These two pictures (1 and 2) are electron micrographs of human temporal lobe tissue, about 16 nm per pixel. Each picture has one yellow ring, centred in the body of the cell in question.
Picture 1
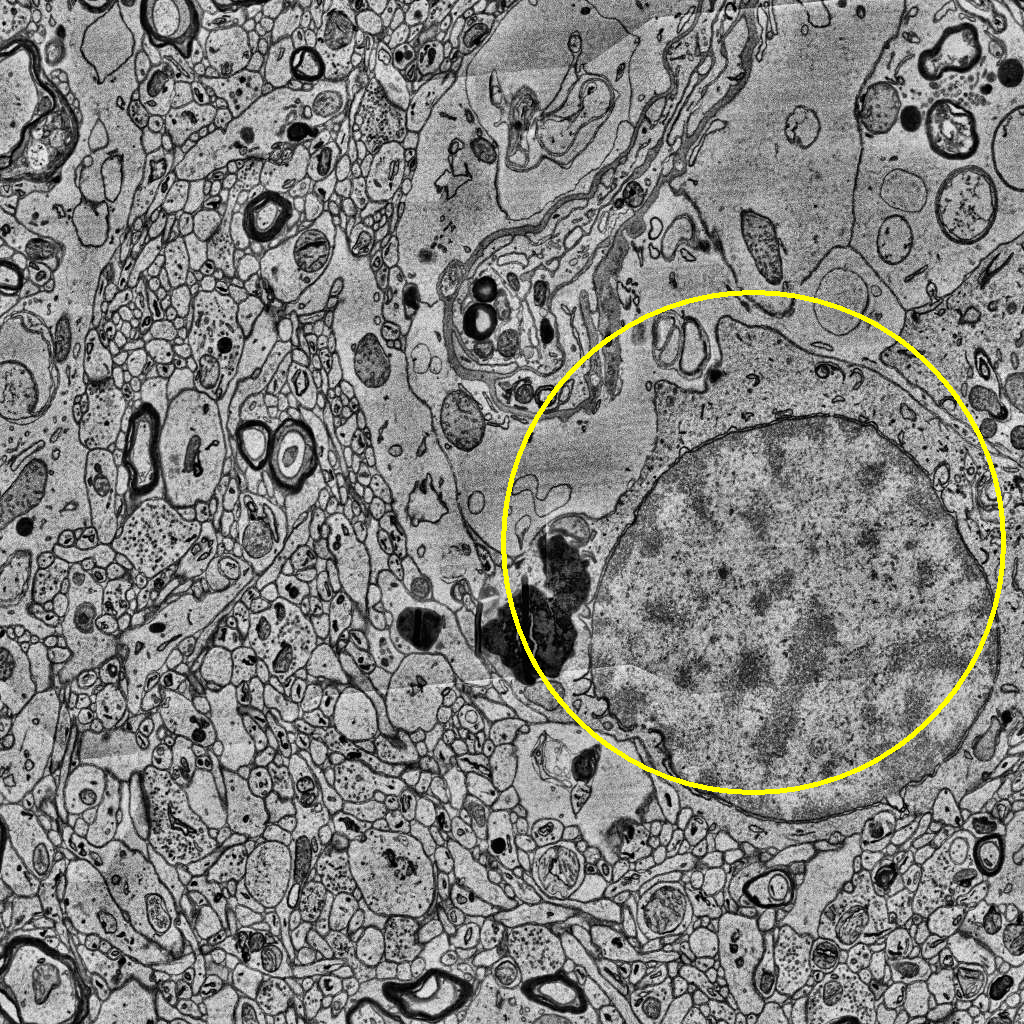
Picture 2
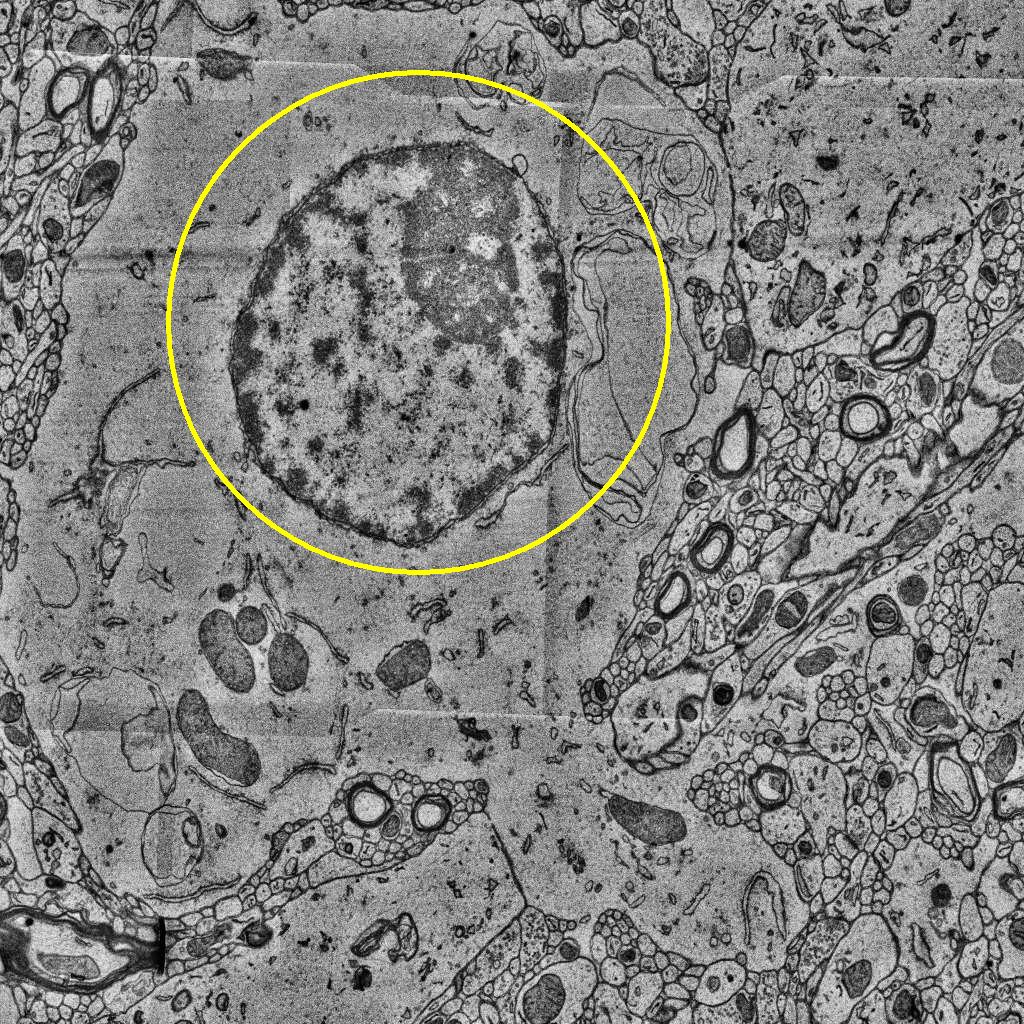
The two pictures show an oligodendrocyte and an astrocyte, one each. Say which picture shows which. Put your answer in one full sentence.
Picture 1 shows an oligodendrocyte and picture 2 shows an astrocyte.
